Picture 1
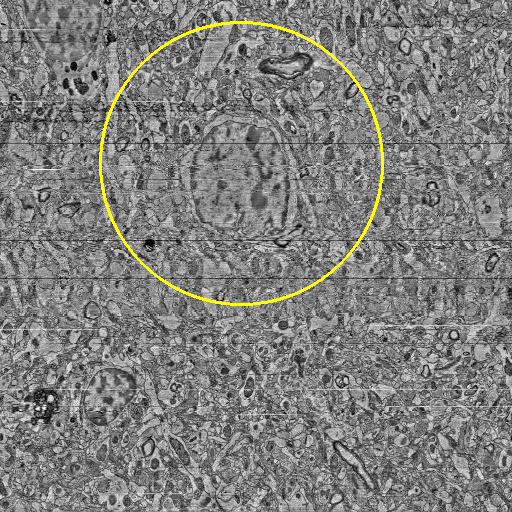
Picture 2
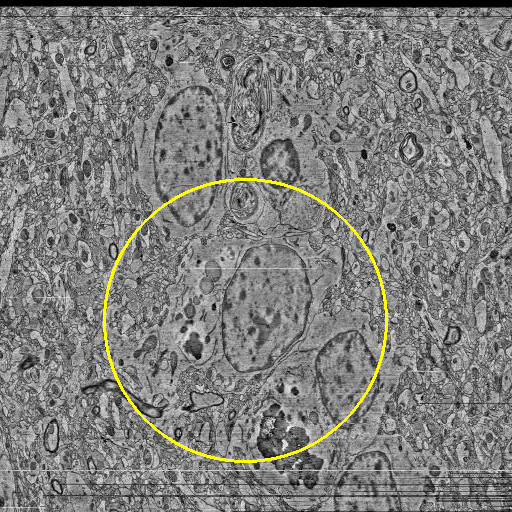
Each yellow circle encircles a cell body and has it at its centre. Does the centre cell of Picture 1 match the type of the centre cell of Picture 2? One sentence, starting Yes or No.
No, the cell centred in Picture 1 and the one in Picture 2 have separate types.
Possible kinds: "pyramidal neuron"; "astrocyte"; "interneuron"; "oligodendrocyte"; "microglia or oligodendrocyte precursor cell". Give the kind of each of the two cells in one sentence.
The cell in the second picture is an astrocyte, and that in the first is a microglial cell or oligodendrocyte precursor cell.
